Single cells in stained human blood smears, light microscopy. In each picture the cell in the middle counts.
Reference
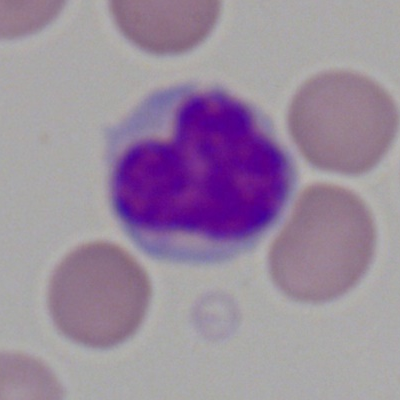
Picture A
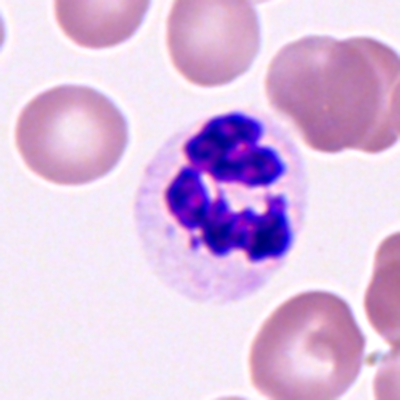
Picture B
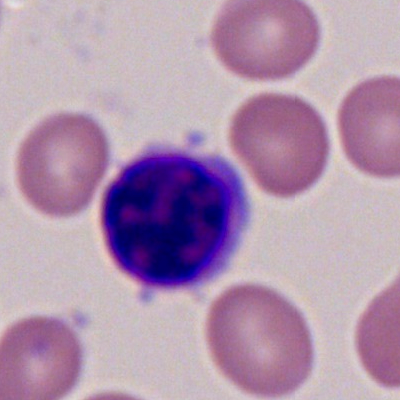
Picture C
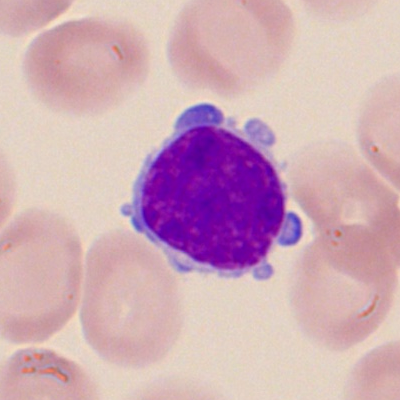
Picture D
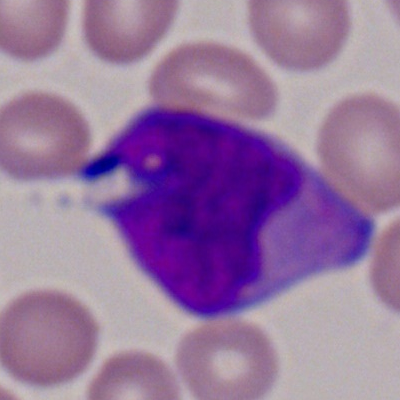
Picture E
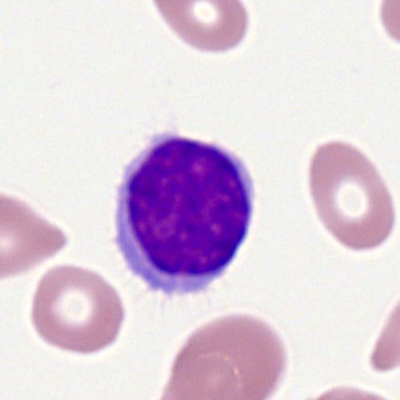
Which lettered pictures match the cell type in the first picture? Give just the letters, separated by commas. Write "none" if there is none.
B, C, E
